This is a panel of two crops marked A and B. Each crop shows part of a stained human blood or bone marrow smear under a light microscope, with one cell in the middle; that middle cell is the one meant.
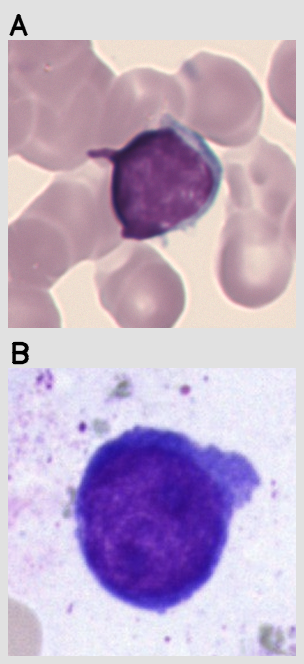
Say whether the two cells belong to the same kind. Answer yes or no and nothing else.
no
